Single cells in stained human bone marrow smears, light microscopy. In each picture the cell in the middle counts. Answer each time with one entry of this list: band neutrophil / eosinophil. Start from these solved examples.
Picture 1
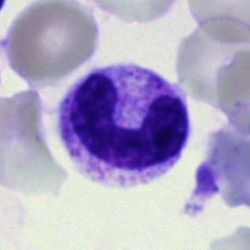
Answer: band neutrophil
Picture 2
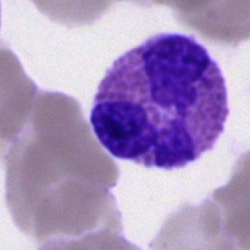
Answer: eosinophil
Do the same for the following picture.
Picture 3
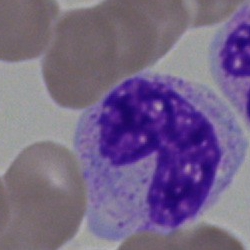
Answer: band neutrophil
